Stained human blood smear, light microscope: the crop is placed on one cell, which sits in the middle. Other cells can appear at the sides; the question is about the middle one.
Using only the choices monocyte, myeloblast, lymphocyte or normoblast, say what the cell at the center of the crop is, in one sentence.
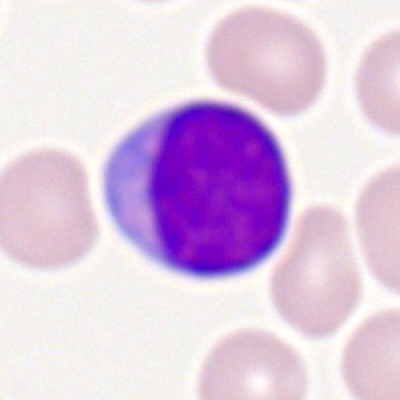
The cell that lies at the centre of the crop is a myeloblast.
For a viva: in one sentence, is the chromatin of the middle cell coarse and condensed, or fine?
The chromatin in this nucleus is coarsely clumped.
